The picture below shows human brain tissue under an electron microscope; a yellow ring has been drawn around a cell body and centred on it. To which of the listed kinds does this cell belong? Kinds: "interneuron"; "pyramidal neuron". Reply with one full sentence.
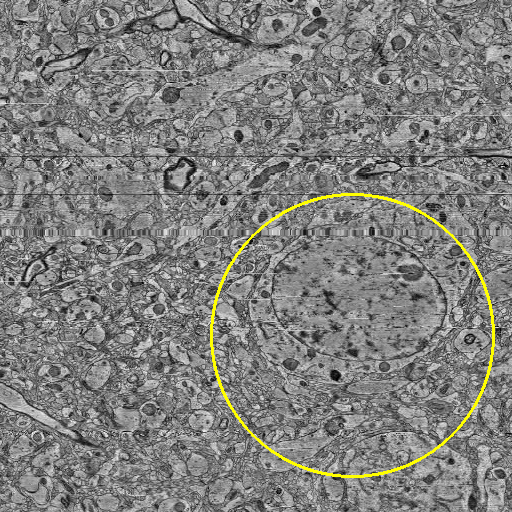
It is a pyramidal neuron that the yellow ring in the picture is centred on.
